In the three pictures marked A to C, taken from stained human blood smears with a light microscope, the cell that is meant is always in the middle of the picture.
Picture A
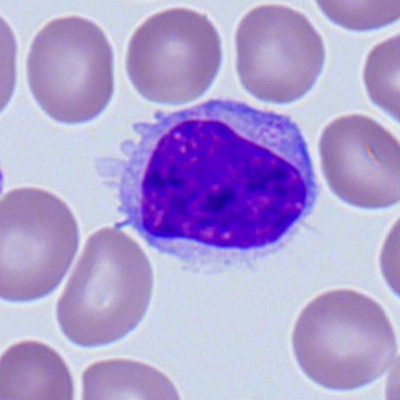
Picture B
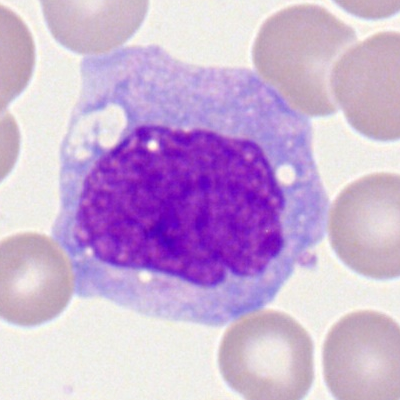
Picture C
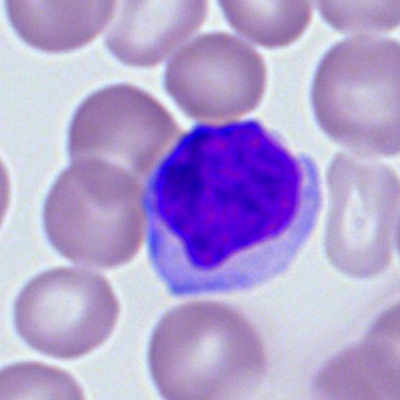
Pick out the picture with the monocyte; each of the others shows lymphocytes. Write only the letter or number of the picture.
B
